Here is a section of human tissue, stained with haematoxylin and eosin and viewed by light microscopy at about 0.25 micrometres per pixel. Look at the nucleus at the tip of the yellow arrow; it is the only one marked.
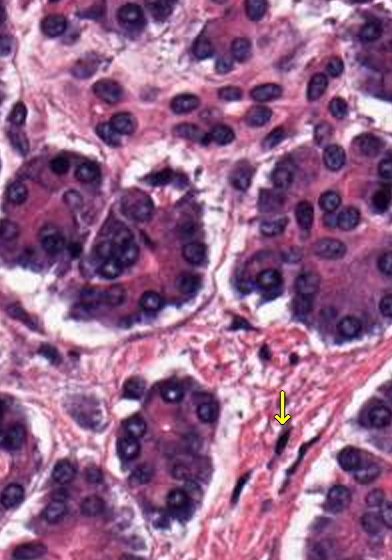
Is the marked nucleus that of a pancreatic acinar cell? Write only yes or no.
no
